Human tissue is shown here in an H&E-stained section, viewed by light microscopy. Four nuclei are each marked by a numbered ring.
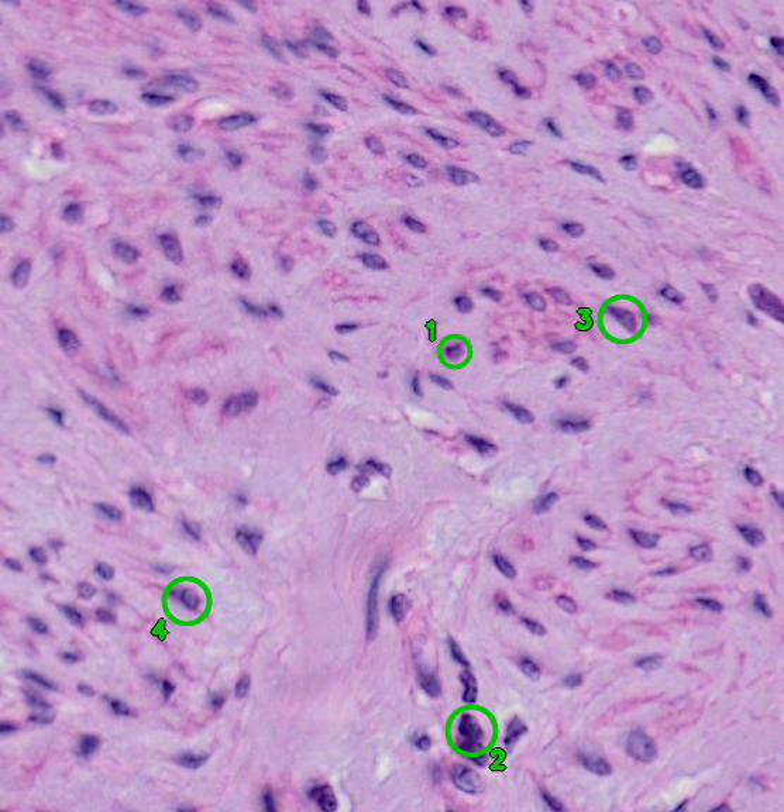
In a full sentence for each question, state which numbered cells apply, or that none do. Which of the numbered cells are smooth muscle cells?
Cells numbered 1, 3 and 4 belong to the group of smooth muscle cells.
